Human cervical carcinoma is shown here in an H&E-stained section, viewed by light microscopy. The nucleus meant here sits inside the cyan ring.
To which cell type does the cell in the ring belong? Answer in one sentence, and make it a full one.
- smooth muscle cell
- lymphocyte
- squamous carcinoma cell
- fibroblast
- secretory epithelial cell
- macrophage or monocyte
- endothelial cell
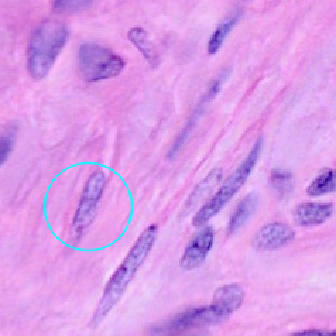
Speaking plainly, the cell in the ring is nothing other than a smooth muscle cell.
